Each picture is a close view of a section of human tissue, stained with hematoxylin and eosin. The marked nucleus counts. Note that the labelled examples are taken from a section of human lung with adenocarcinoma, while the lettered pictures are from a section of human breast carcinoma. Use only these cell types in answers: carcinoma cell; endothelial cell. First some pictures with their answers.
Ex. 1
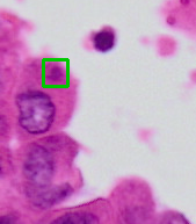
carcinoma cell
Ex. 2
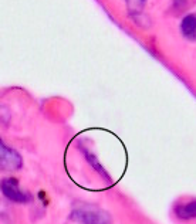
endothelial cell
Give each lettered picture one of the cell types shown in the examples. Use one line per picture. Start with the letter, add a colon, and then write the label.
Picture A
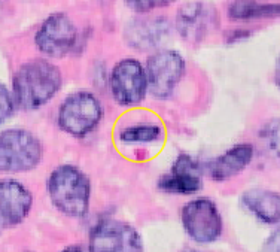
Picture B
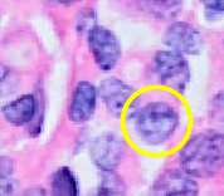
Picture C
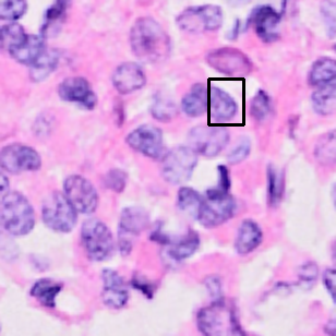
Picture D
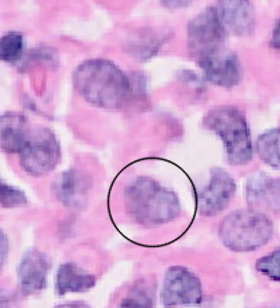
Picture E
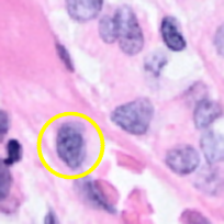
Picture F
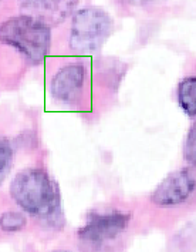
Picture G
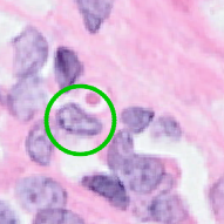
A: endothelial cell
B: carcinoma cell
C: carcinoma cell
D: carcinoma cell
E: endothelial cell
F: carcinoma cell
G: carcinoma cell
